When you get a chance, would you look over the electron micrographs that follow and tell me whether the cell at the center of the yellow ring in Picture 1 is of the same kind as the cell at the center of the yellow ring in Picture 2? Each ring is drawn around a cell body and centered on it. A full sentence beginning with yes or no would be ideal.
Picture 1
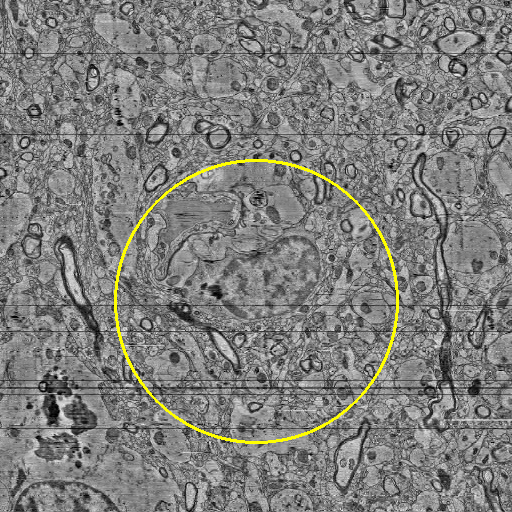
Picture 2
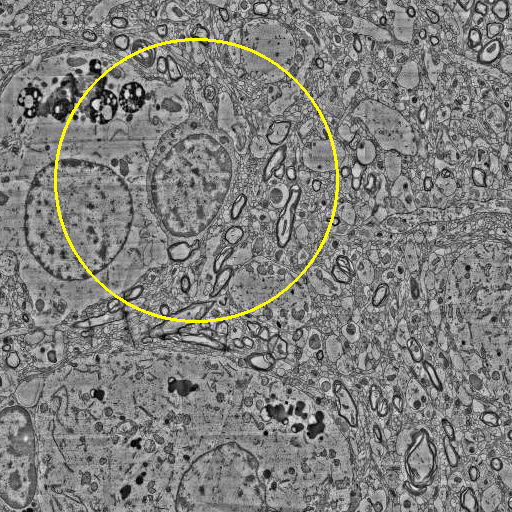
Yes, the two cells are of the same kind.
